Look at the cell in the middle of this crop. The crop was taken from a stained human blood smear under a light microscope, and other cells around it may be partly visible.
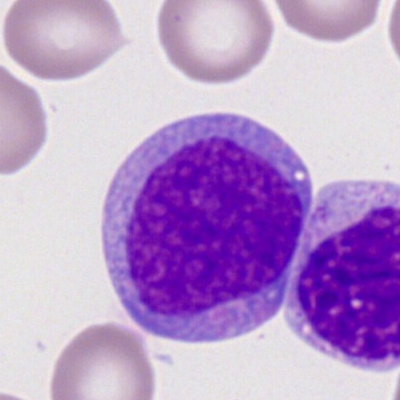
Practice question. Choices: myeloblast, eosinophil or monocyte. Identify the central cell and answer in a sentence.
The central cell, amid any neighbouring cells, is a myeloblast.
